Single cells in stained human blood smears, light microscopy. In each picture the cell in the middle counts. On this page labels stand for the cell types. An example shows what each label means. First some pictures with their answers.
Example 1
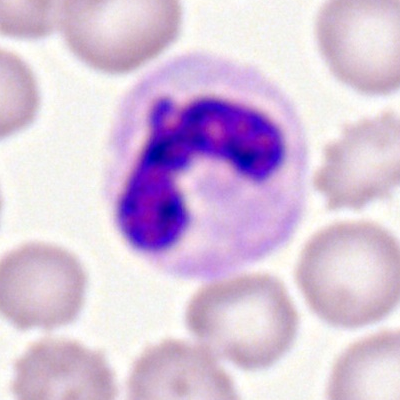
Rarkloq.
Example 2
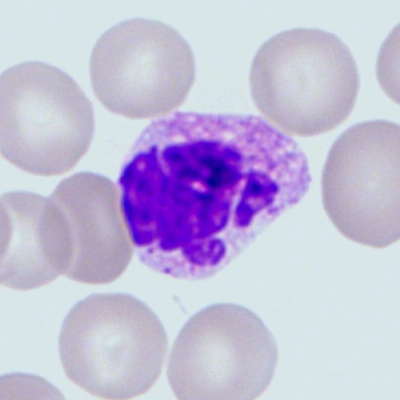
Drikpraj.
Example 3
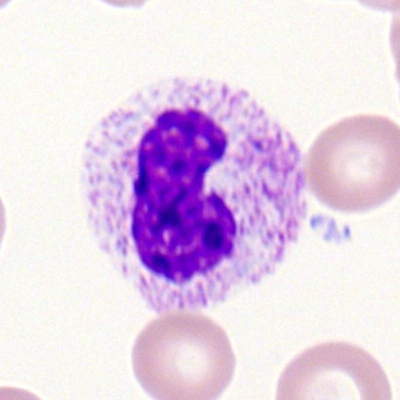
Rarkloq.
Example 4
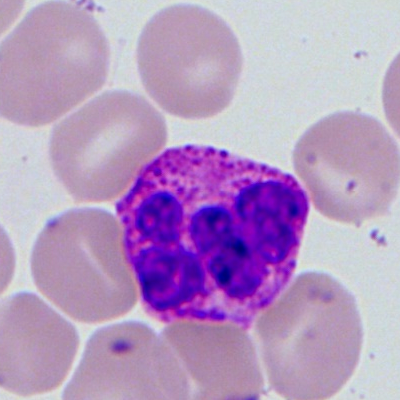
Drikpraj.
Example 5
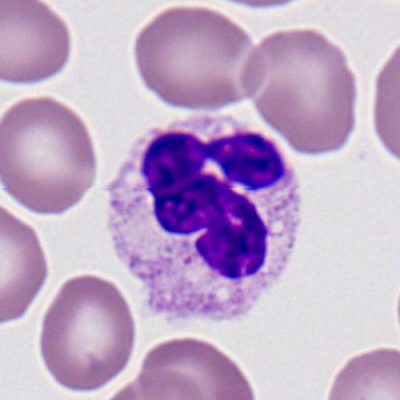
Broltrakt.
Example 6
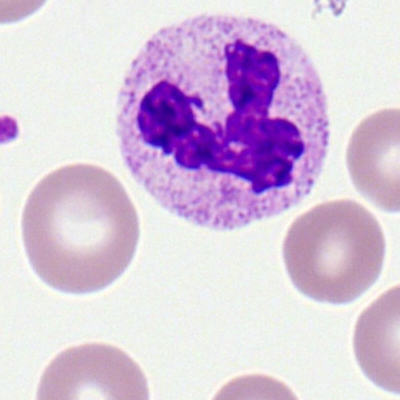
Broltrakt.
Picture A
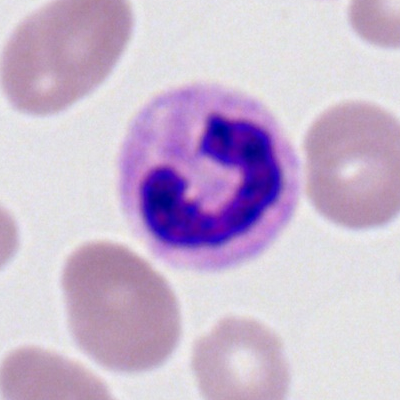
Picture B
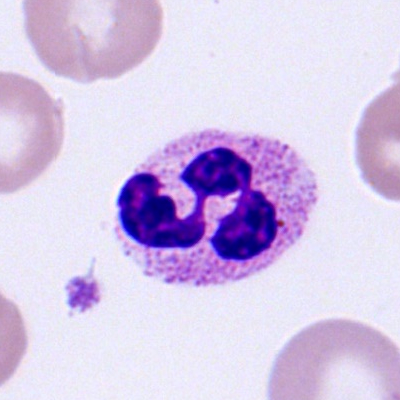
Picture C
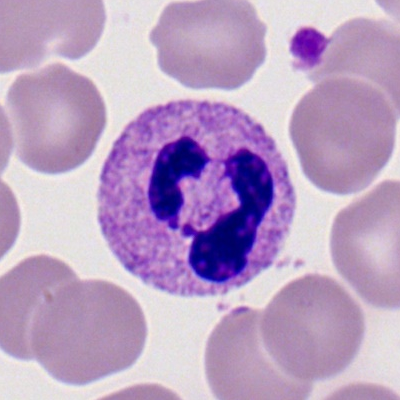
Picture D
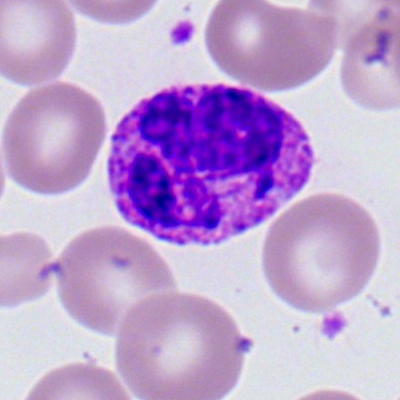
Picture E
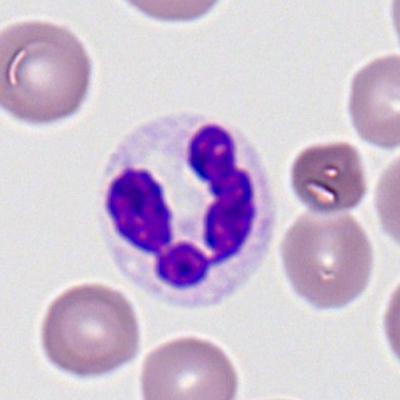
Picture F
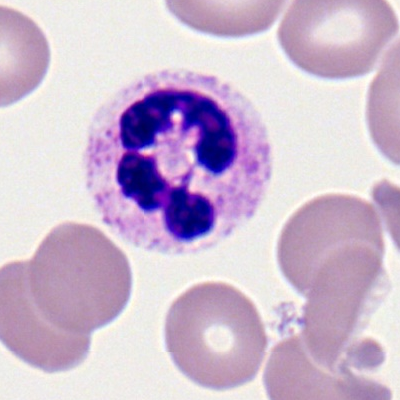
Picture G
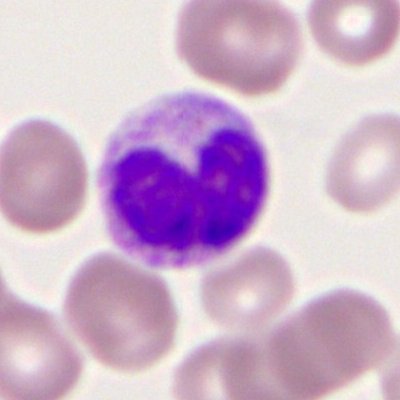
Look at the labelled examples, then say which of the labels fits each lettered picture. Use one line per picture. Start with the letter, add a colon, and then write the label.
A: Rarkloq.
B: Broltrakt.
C: Broltrakt.
D: Drikpraj.
E: Broltrakt.
F: Broltrakt.
G: Rarkloq.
